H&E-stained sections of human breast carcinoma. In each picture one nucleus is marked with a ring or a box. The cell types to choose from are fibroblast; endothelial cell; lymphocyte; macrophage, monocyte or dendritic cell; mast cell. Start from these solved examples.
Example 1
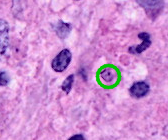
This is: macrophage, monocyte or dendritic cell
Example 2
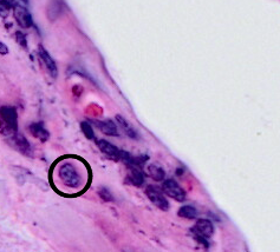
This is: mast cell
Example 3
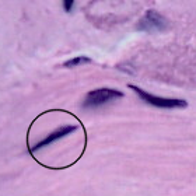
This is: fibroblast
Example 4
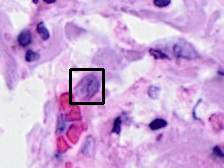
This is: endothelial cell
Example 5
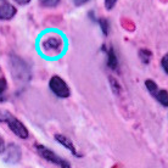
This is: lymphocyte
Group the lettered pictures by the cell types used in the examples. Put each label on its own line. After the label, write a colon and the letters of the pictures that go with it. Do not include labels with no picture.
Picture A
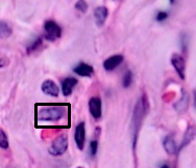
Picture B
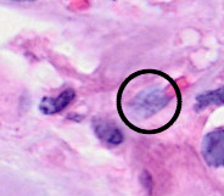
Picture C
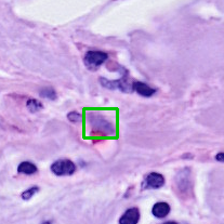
endothelial cell: A, B, C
